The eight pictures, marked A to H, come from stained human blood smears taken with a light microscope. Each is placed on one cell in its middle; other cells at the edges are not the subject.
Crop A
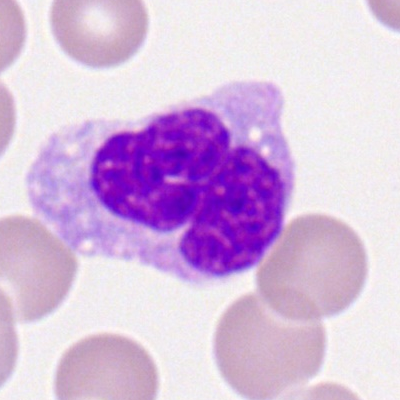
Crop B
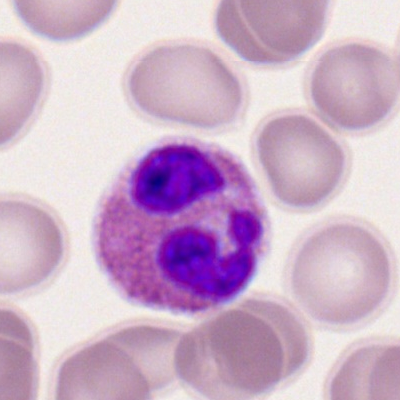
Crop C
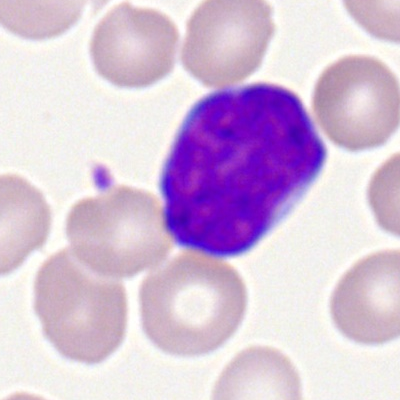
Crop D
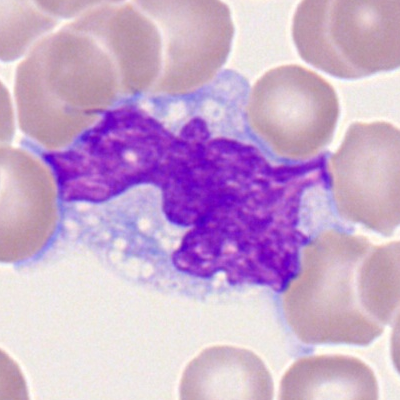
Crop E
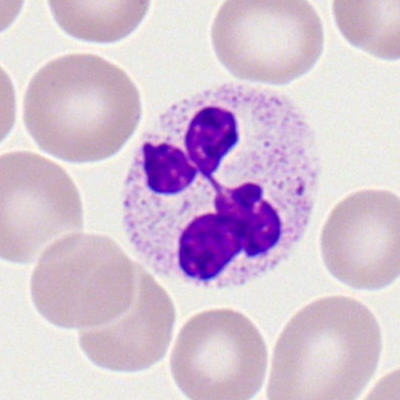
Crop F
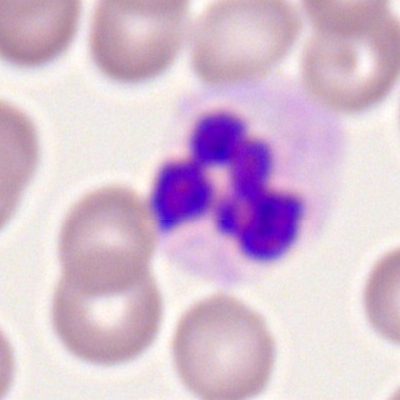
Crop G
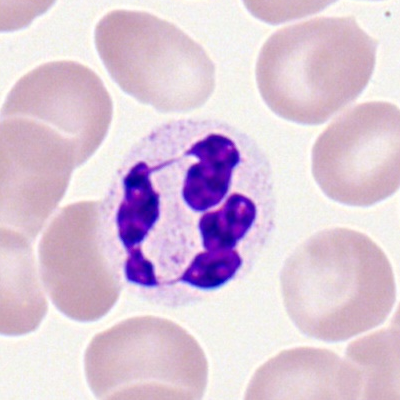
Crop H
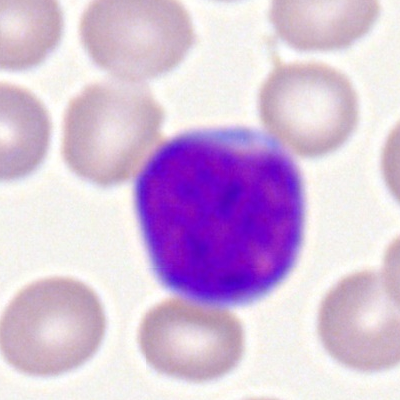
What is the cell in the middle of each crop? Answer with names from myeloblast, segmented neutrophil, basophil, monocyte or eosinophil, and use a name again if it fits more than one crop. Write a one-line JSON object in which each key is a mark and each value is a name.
{"A": "monocyte", "B": "eosinophil", "C": "myeloblast", "D": "monocyte", "E": "segmented neutrophil", "F": "segmented neutrophil", "G": "segmented neutrophil", "H": "myeloblast"}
